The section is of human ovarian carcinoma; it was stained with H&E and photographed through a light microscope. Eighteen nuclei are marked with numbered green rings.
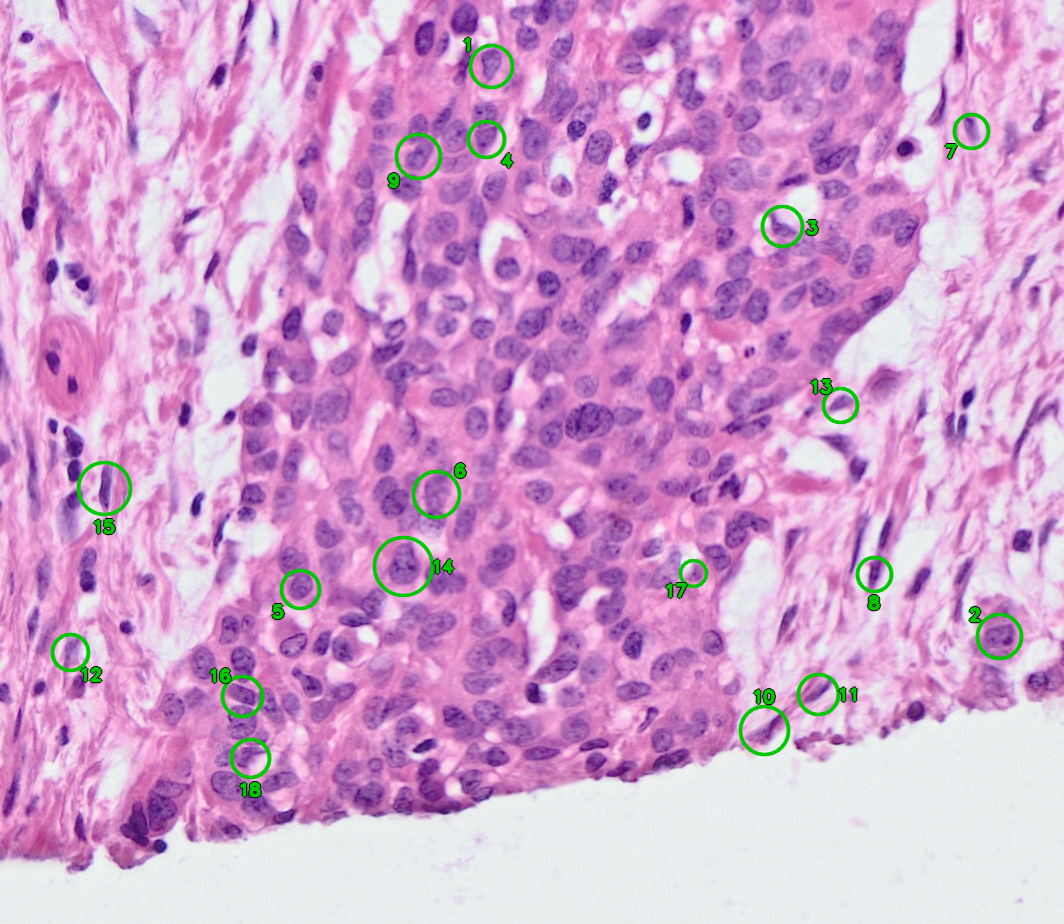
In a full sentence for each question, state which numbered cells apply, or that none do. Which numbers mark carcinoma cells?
Cells 3, 4, 5, 6, 9, 14, 16 and 18 are carcinoma cells by cell type.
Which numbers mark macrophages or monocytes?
Cells 1, 2 and 17 are recognised here as macrophages or monocytes.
